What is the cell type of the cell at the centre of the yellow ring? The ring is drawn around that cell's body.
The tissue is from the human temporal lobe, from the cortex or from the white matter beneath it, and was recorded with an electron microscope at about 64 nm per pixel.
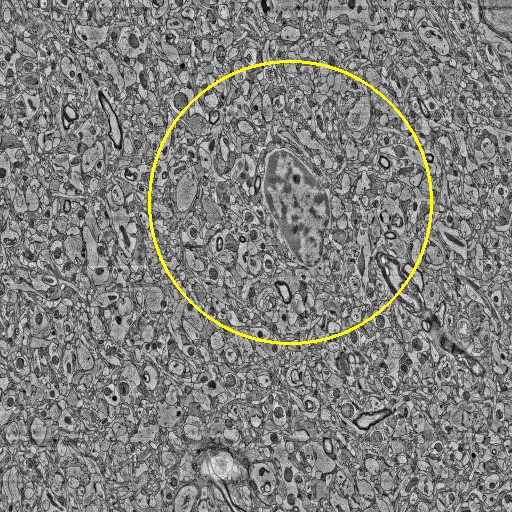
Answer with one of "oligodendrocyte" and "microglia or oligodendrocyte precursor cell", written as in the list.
microglia or oligodendrocyte precursor cell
